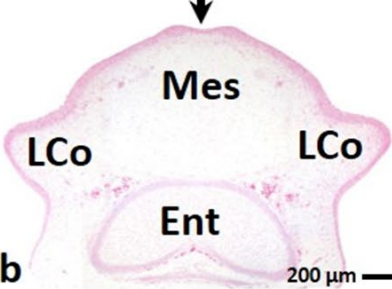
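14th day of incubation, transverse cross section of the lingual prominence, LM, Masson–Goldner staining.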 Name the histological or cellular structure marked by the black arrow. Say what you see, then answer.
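The arrow points to the middle of the upper surface of the section. The upper surface dips slightly at that point.
A shallow recess.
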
